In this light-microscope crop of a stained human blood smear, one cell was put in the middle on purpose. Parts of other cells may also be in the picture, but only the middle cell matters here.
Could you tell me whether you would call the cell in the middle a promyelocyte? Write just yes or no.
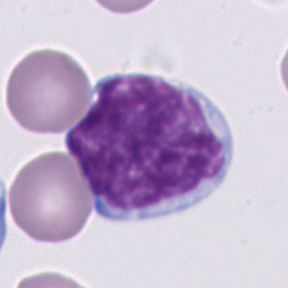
no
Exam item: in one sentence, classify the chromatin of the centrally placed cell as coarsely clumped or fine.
What stands out is chromatin that is coarsely clumped.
